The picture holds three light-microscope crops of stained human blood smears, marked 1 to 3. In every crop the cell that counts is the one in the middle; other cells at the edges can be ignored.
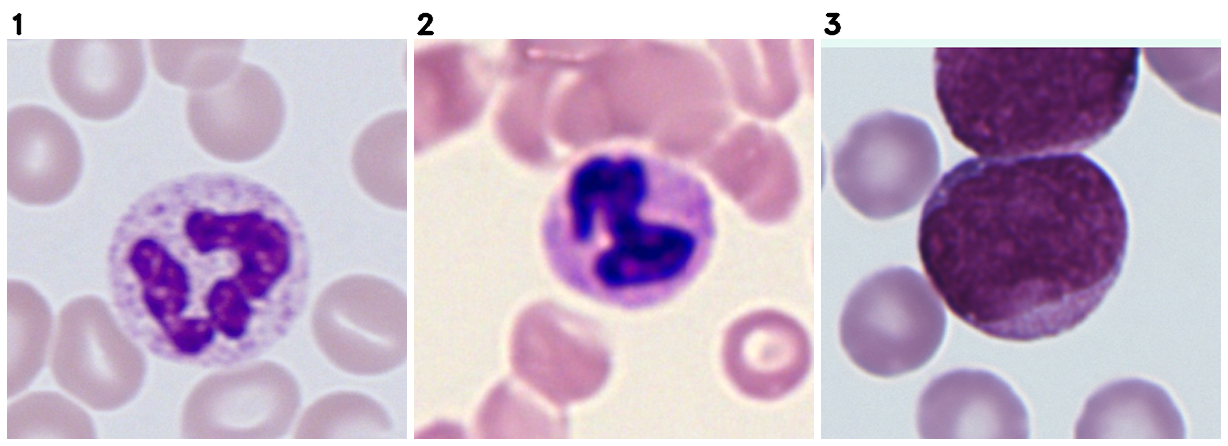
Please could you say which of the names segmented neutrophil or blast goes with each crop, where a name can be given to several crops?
1: segmented neutrophil
2: segmented neutrophil
3: blast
